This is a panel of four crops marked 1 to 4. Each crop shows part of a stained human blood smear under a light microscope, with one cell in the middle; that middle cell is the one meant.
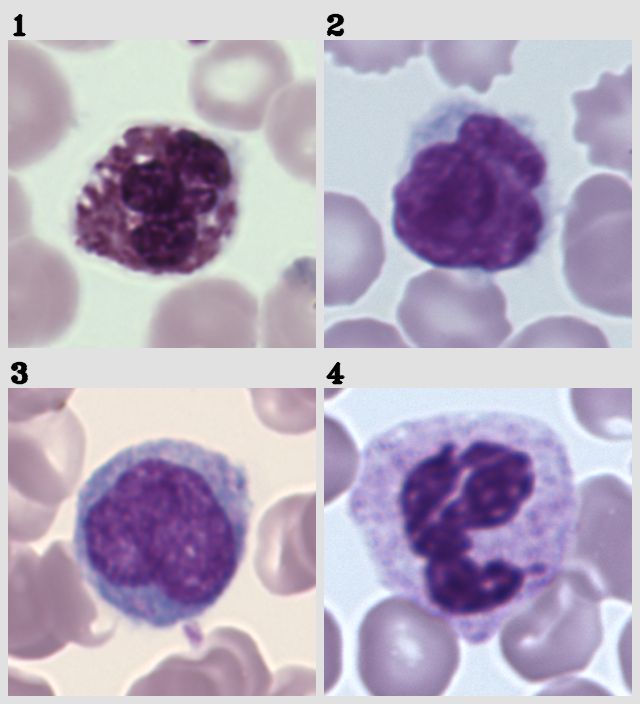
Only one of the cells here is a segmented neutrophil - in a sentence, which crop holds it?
Crop 4 alone, of all the crops, shows a segmented neutrophil.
